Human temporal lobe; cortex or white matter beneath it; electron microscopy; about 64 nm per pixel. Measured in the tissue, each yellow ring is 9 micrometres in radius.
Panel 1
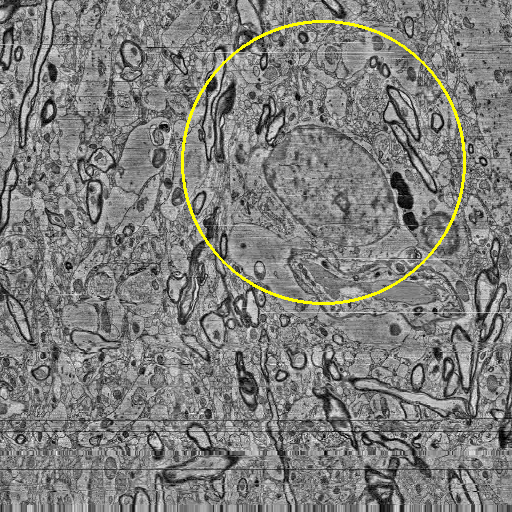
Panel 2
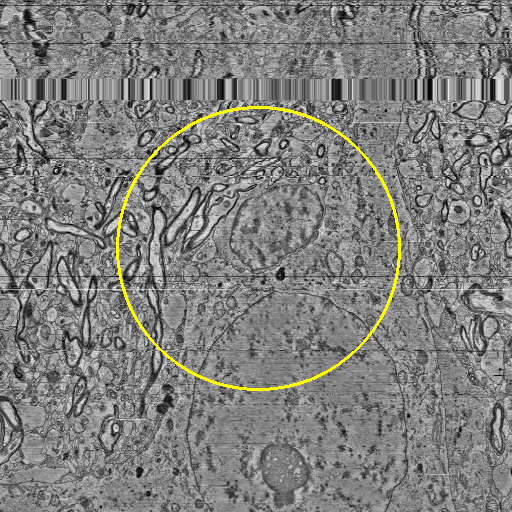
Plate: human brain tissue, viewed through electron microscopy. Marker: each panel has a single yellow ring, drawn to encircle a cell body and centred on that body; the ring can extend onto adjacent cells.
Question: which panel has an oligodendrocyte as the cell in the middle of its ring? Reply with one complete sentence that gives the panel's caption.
Panel 2 is where the requested cell sits at the centre of the ring.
